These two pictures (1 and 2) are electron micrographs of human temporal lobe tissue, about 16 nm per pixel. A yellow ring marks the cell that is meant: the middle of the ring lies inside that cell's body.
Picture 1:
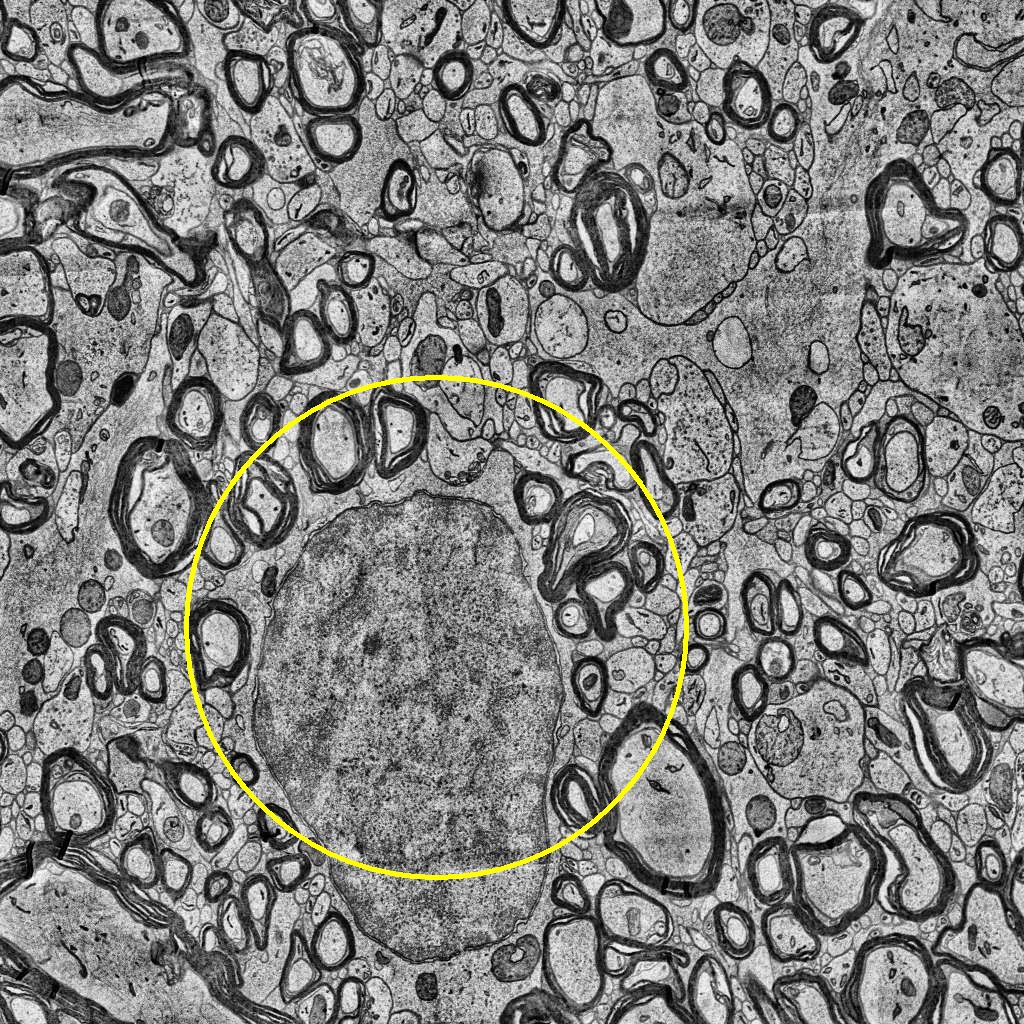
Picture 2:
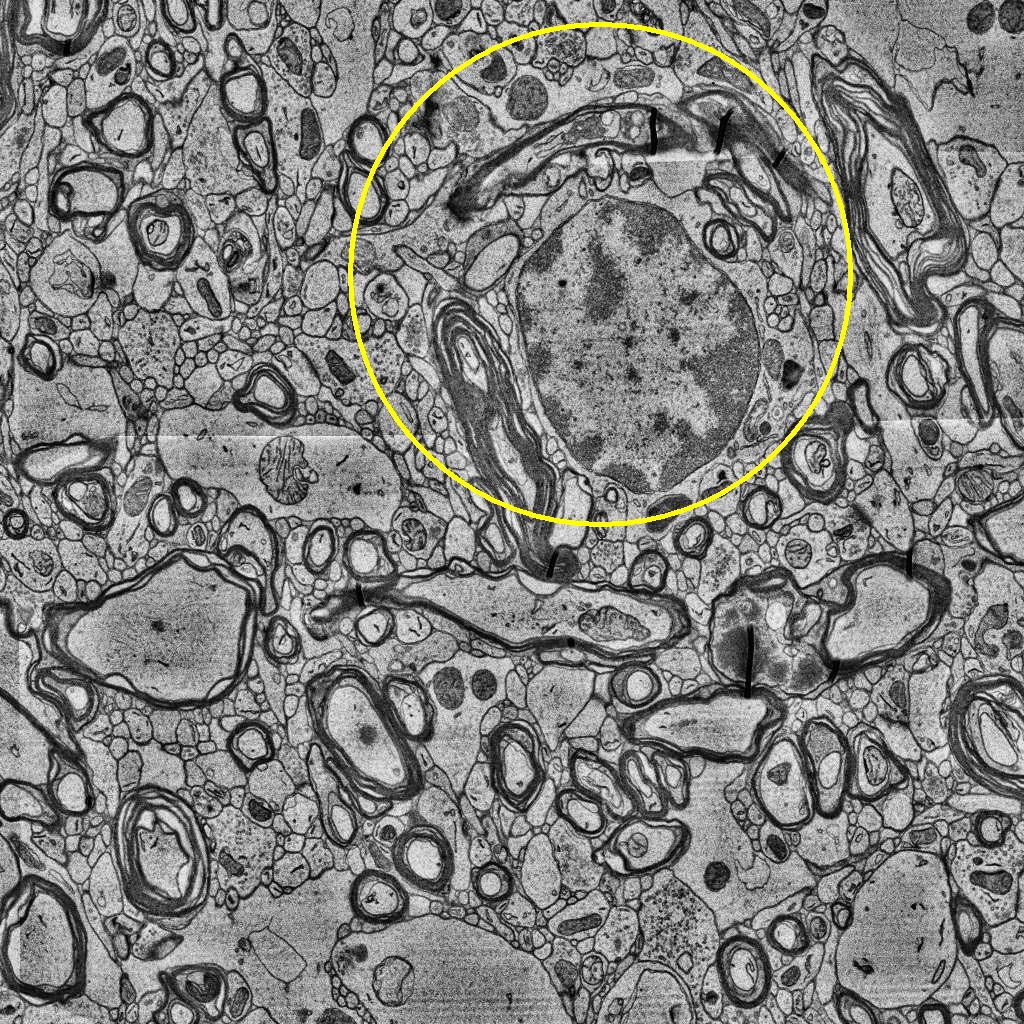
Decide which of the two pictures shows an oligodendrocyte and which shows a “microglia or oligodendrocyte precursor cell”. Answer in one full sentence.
The cell in picture 1 is an oligodendrocyte, and the one in picture 2 is a “microglia or oligodendrocyte precursor cell”.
